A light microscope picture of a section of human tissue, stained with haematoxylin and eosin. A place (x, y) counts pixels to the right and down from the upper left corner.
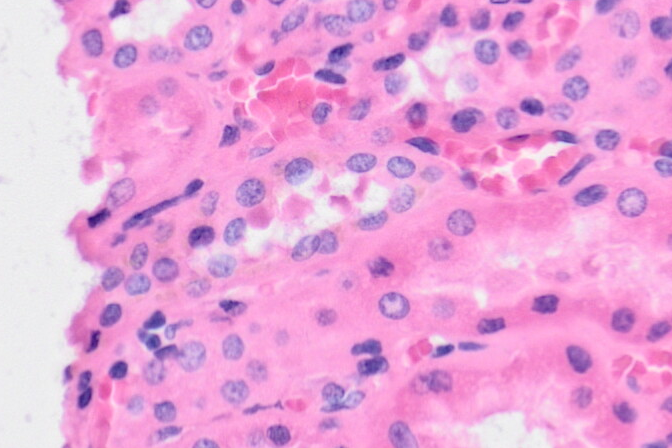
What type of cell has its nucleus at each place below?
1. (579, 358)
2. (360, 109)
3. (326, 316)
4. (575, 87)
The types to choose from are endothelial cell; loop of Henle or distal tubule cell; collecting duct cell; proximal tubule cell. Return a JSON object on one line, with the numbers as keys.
{"1": "proximal tubule cell", "2": "loop of Henle or distal tubule cell", "3": "proximal tubule cell", "4": "loop of Henle or distal tubule cell"}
